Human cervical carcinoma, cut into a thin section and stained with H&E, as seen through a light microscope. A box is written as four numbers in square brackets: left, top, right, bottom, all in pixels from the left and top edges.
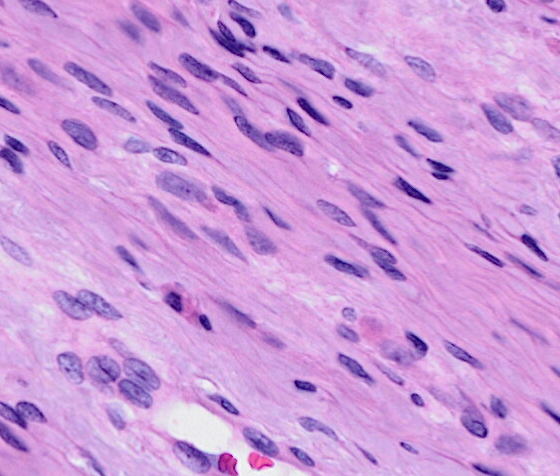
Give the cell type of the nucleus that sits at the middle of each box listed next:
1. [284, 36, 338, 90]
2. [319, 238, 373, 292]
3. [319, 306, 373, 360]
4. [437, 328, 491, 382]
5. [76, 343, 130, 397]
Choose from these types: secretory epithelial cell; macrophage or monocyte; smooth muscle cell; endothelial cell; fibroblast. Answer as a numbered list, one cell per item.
1. fibroblast
2. fibroblast
3. smooth muscle cell
4. fibroblast
5. endothelial cell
